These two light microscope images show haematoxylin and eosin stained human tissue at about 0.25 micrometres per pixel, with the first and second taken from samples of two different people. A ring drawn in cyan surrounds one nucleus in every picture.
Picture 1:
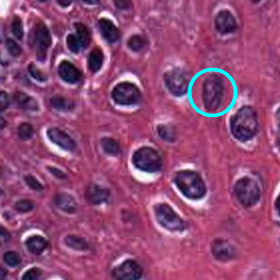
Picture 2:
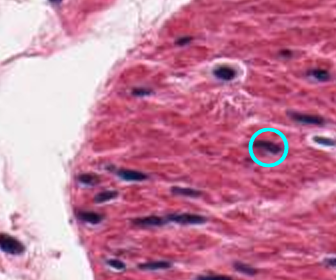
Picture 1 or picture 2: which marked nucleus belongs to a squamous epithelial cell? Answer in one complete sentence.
In picture 1, the marked nucleus belongs to a squamous epithelial cell, while in the other picture it does not.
